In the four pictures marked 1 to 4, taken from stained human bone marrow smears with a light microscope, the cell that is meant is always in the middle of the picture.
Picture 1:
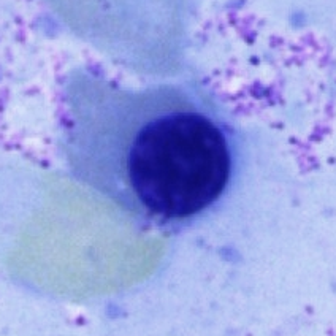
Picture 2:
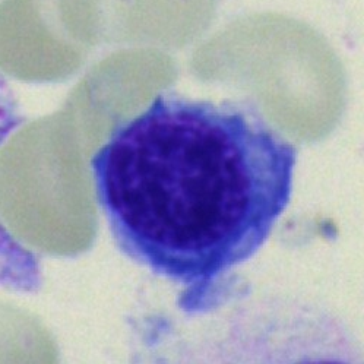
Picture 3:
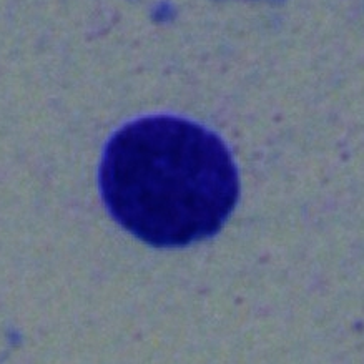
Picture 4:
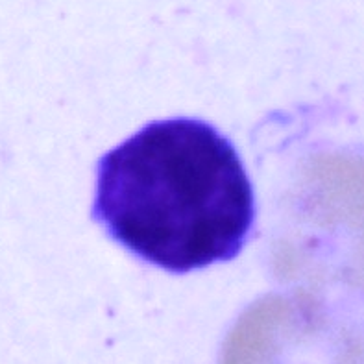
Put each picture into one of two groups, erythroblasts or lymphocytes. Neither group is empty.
1: erythroblast
2: erythroblast
3: lymphocyte
4: lymphocyte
